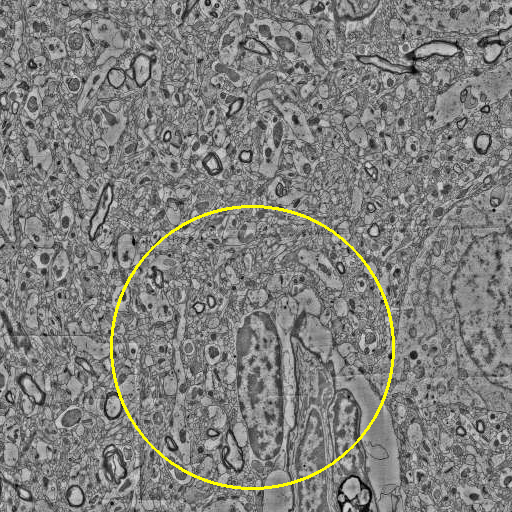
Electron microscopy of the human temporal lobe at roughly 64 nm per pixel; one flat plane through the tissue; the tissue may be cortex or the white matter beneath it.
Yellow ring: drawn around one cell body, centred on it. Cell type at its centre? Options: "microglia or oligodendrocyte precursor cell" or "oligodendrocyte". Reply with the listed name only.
microglia or oligodendrocyte precursor cell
